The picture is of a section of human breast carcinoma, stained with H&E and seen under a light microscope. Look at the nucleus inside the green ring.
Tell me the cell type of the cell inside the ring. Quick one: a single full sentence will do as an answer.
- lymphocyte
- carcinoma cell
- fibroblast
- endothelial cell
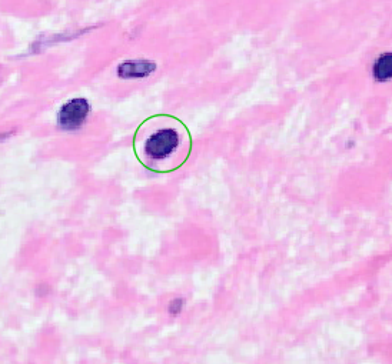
The correct response here is that the cell inside the ring is a lymphocyte.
